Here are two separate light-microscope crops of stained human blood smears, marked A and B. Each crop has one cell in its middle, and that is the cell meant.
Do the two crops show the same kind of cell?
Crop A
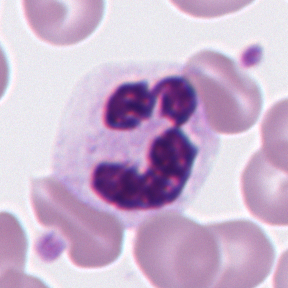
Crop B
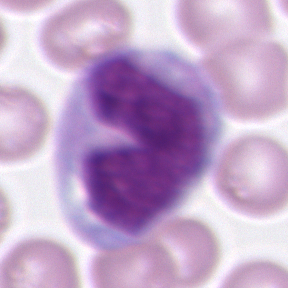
no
